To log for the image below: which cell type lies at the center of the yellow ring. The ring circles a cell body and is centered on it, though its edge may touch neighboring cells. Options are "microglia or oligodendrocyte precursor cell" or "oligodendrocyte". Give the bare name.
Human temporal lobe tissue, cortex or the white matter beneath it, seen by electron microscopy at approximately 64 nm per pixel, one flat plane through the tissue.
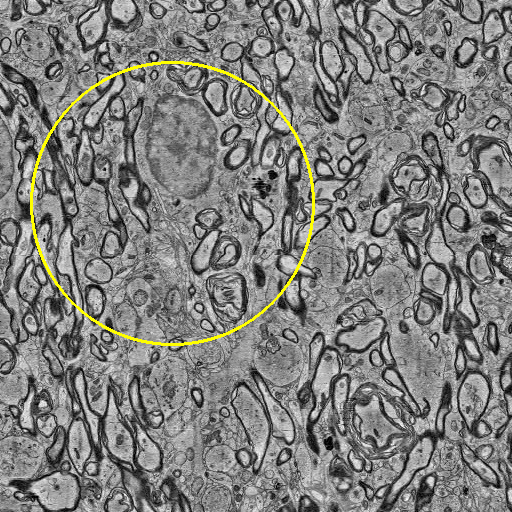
oligodendrocyte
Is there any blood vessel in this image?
No, the picture includes no blood vessel.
